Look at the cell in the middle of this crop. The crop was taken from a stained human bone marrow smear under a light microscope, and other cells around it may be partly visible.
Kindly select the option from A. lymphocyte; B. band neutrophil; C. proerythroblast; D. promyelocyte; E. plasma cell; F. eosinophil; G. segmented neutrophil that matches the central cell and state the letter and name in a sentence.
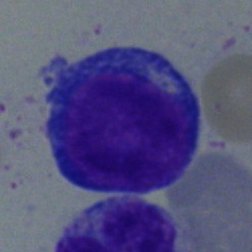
The cell right in the middle is a proerythroblast, so option C is the one.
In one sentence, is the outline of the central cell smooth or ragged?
The edge is uneven, and this unevenness takes the form of ragged stretches or projections.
